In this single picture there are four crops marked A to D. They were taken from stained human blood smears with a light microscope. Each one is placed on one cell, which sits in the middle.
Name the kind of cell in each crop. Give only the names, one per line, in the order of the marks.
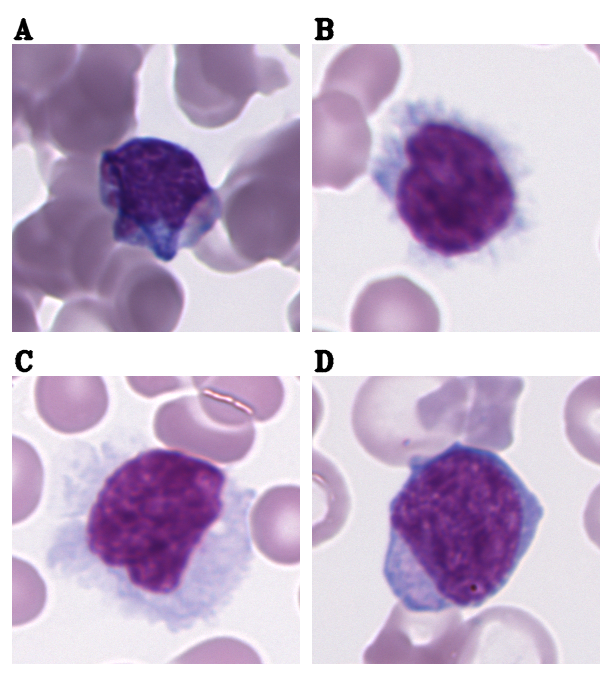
typical lymphocyte
hairy cell
hairy cell
myeloblast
